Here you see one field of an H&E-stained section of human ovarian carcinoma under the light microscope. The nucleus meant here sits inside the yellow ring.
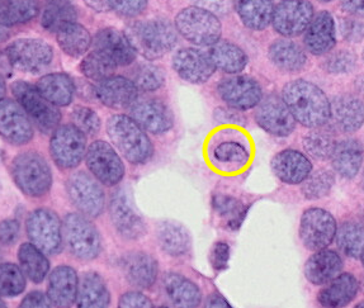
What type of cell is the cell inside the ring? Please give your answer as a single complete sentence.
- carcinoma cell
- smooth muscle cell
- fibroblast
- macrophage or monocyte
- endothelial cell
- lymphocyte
As for its identity, the cell inside the ring is a macrophage or monocyte.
